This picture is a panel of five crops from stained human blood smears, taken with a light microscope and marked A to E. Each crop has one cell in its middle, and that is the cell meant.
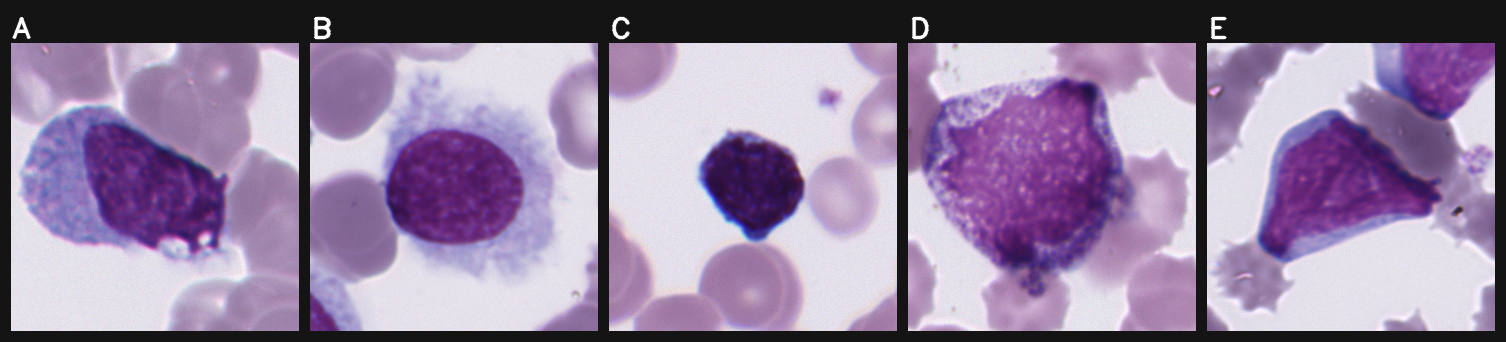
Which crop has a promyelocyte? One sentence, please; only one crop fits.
Crop D is the crop in which a promyelocyte is shown.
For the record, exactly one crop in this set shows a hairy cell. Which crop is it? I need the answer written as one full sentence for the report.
Among all the crops given here, the one with a hairy cell is crop B.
